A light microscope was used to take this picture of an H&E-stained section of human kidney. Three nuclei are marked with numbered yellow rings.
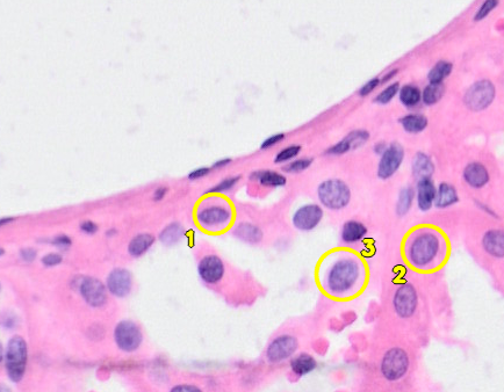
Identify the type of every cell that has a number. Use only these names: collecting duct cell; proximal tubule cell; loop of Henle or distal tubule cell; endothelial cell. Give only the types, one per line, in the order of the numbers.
collecting duct cell
proximal tubule cell
collecting duct cell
